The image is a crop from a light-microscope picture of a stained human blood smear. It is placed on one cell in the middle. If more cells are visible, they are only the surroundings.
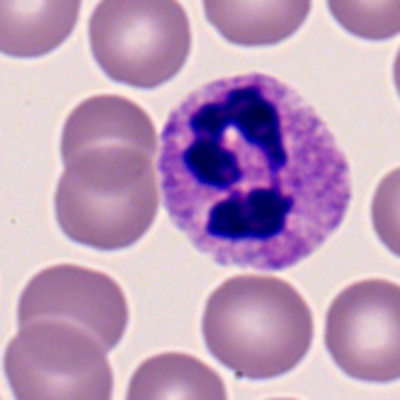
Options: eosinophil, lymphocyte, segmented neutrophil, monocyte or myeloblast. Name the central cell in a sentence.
The cell at the middle of the crop is recognized as a segmented neutrophil.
